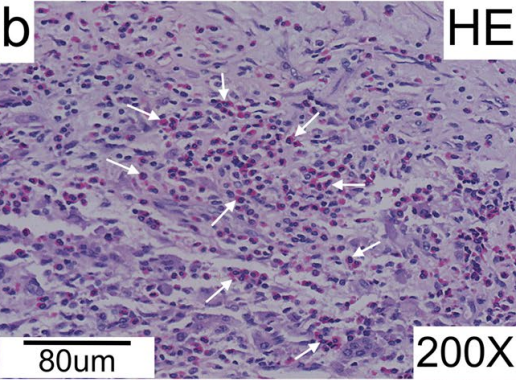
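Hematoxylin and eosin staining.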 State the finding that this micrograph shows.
diffuse infiltration of eosinophils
